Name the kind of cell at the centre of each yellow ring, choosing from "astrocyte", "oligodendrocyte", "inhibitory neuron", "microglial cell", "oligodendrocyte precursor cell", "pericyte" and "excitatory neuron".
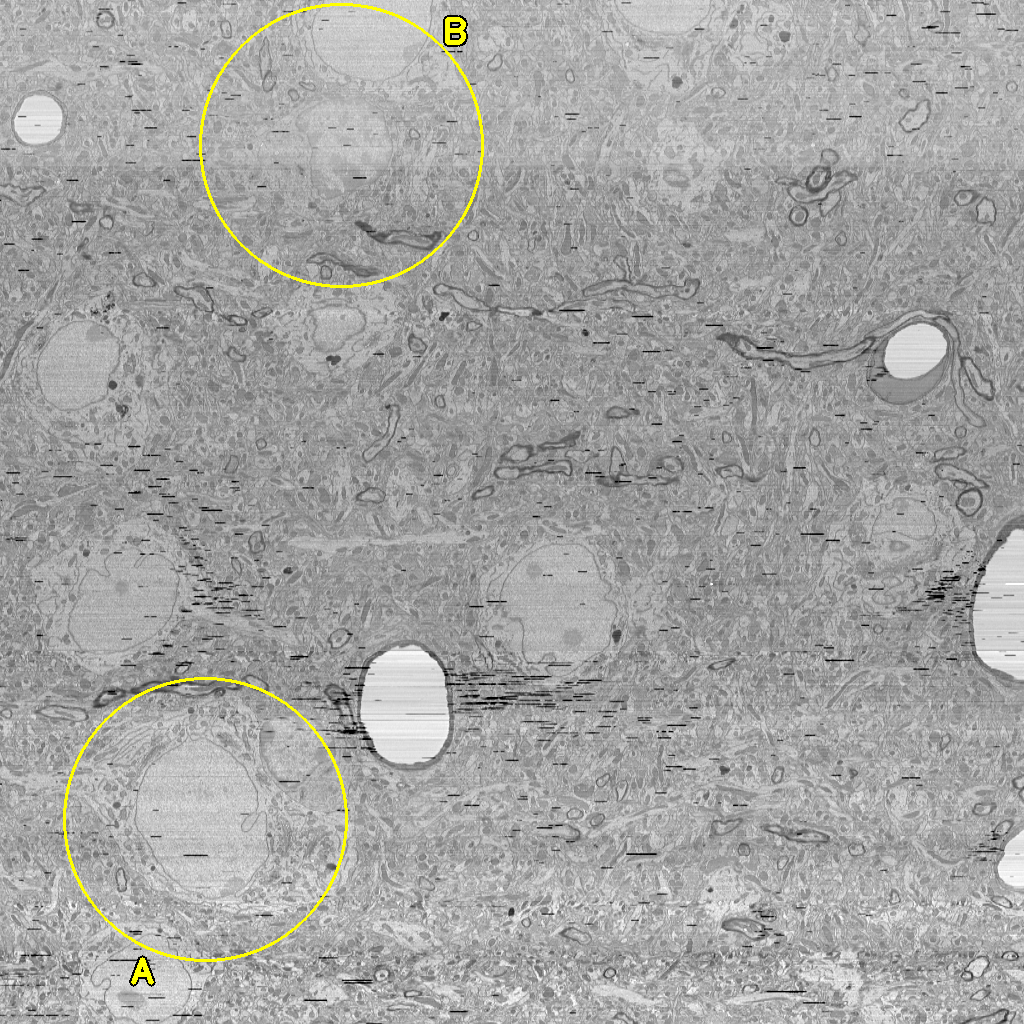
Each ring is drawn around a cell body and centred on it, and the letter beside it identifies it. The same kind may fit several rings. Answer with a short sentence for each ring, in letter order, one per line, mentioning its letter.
Ring A is drawn around an inhibitory neuron.
Ring B is drawn around an oligodendrocyte.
